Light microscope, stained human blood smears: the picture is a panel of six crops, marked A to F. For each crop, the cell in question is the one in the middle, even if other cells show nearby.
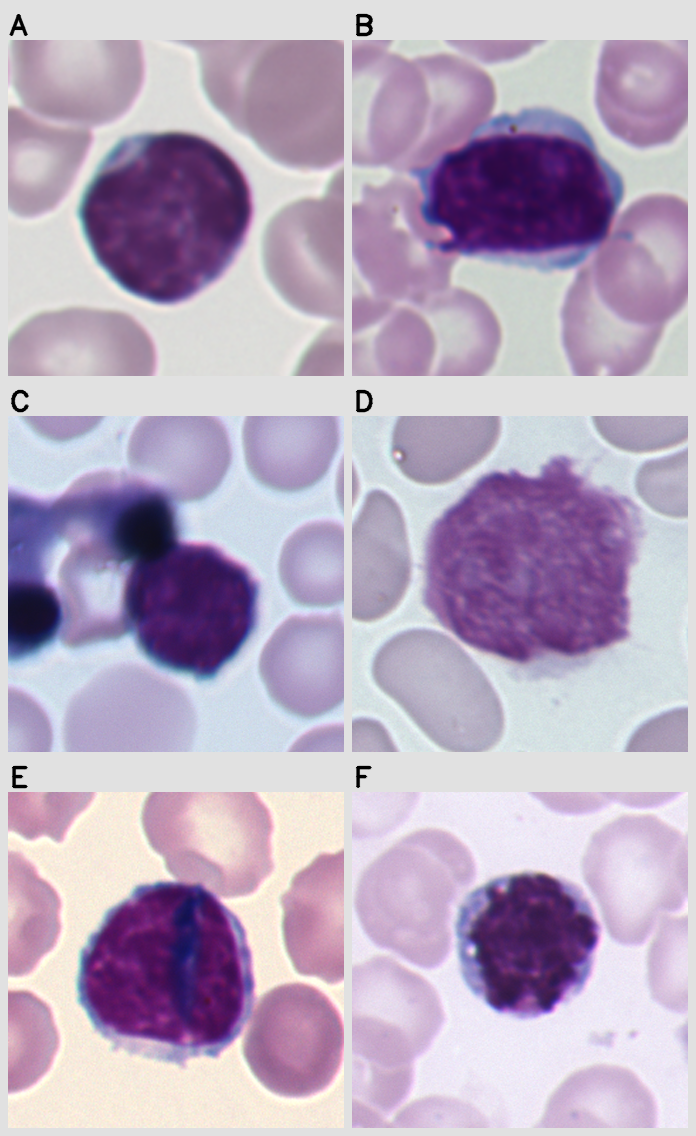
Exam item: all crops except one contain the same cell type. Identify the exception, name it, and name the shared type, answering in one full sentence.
Of these crops, only crop D is a smudge cell; the others are typical lymphocytes.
